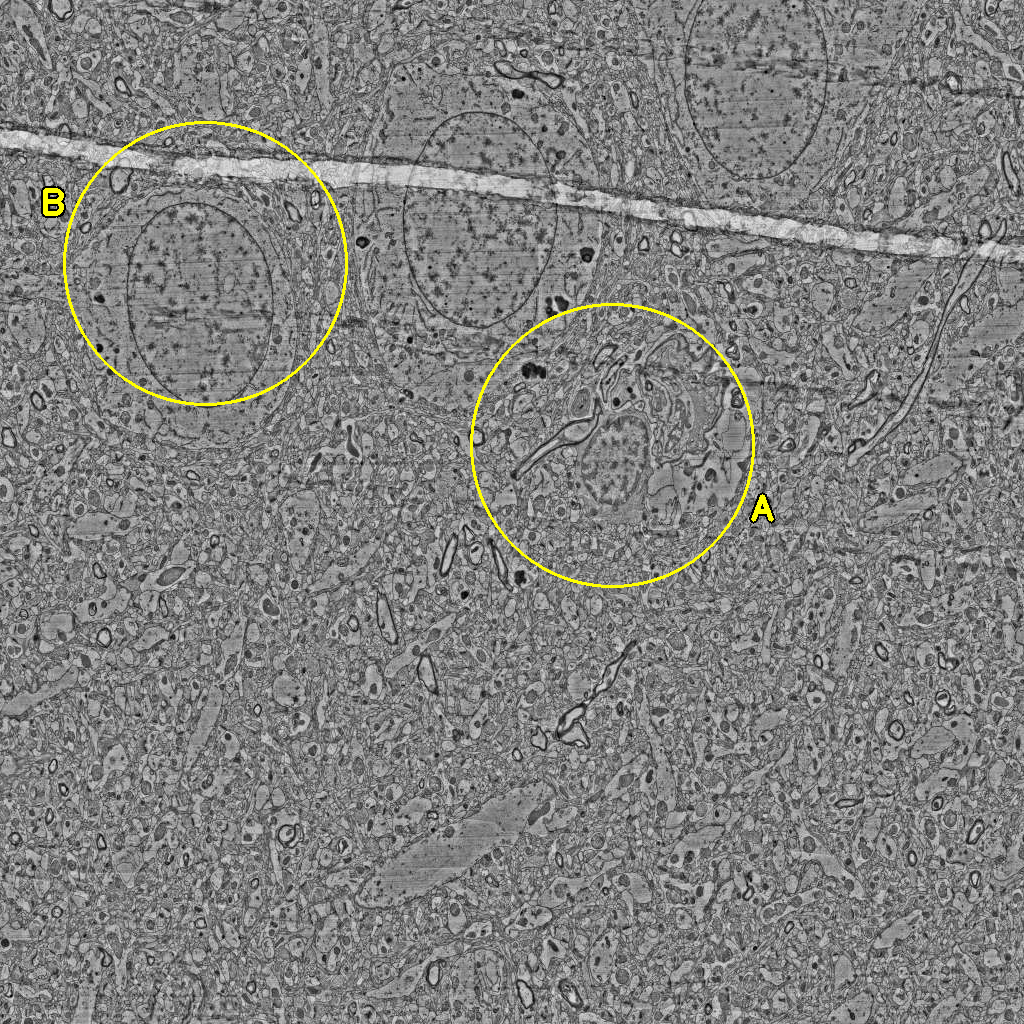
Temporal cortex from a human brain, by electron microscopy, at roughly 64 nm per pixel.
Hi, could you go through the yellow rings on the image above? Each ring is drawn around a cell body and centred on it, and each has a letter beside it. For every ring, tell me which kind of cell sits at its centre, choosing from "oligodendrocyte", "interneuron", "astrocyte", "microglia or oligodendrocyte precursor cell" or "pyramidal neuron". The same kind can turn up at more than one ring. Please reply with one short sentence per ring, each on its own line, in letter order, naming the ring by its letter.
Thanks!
Ring A is centred on an oligodendrocyte.
Ring B is centred on a pyramidal neuron.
